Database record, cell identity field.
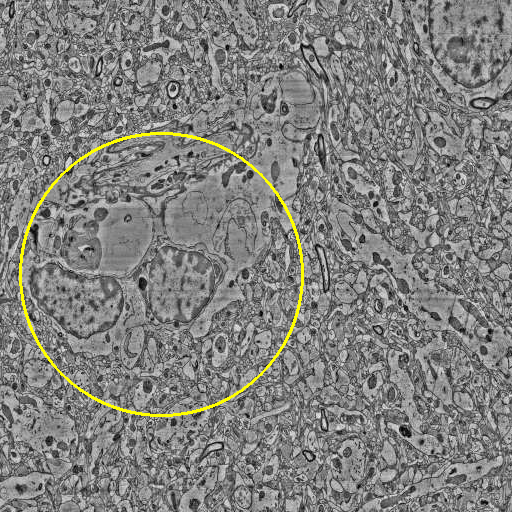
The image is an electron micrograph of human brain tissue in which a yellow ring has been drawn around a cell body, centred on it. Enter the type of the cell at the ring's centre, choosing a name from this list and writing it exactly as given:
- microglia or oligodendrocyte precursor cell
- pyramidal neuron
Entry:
microglia or oligodendrocyte precursor cell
